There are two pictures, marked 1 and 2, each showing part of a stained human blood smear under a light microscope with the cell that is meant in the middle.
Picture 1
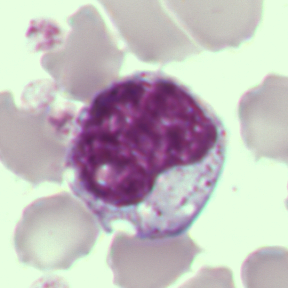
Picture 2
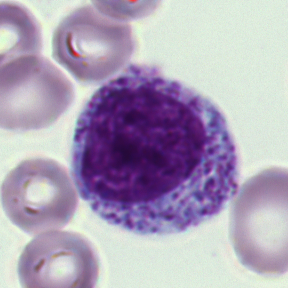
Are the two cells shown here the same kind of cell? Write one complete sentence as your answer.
No; the cell in picture 1 is a metamyelocyte, while the one in picture 2 is a myelocyte.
